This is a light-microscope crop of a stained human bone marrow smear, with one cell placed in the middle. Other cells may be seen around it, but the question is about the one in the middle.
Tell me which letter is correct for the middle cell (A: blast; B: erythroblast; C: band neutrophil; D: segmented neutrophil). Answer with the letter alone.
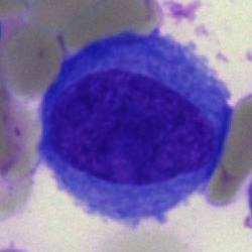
A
